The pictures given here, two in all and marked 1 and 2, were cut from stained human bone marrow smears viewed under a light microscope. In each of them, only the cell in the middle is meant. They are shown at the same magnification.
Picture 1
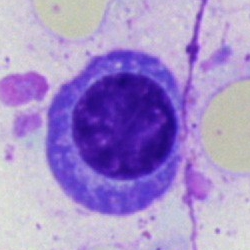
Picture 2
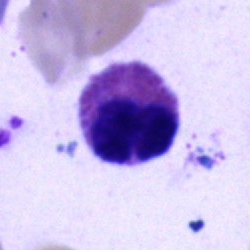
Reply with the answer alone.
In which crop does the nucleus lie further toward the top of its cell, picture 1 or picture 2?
1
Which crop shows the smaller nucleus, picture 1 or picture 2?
2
